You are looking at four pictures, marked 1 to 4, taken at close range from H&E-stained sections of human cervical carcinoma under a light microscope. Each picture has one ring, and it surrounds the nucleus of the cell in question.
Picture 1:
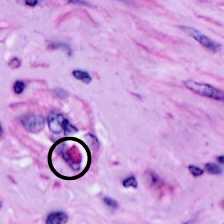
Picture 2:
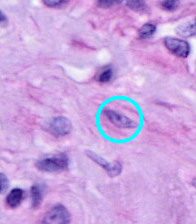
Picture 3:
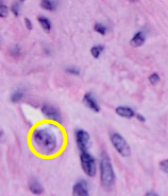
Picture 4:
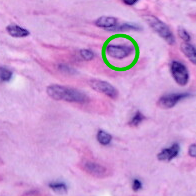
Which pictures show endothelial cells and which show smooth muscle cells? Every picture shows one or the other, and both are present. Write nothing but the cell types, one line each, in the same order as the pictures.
endothelial cell
smooth muscle cell
endothelial cell
smooth muscle cell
